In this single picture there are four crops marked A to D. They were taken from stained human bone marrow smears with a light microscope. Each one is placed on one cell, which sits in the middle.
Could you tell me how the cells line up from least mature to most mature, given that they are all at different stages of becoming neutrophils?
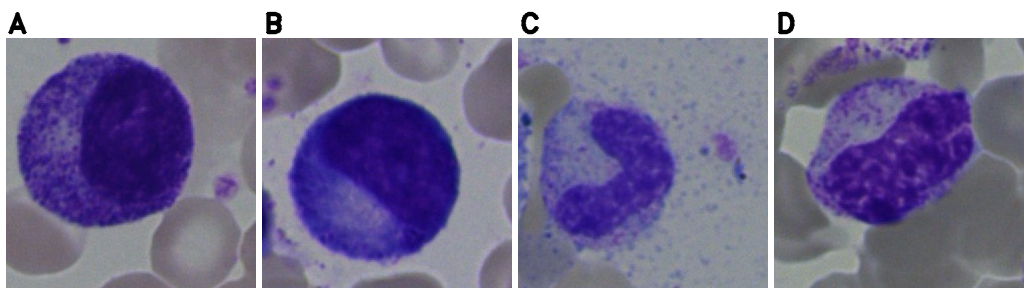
B, A, D, C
